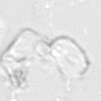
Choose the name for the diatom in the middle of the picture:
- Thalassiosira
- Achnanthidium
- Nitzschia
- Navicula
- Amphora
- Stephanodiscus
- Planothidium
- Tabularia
Thalassiosira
